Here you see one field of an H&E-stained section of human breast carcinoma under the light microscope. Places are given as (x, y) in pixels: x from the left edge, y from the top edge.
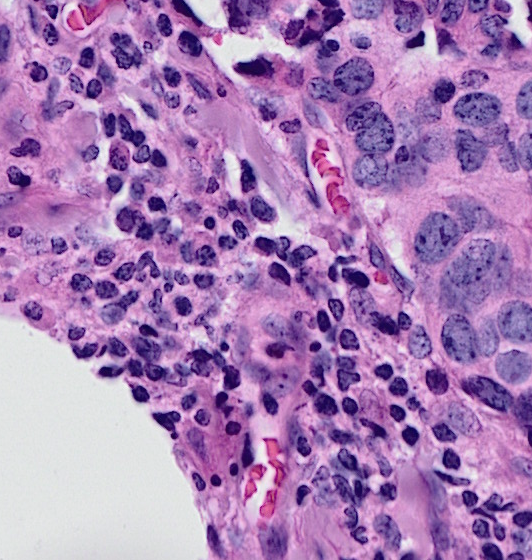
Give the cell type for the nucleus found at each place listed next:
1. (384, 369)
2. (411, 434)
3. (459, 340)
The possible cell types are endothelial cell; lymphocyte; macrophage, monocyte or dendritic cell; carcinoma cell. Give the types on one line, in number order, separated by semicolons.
lymphocyte; lymphocyte; carcinoma cell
